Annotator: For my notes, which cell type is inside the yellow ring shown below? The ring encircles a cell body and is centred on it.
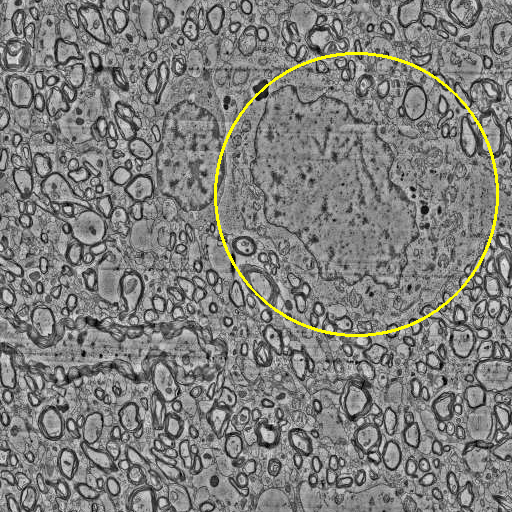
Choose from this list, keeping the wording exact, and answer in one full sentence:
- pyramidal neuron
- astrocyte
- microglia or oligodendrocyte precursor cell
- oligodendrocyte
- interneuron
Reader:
At the centre of the yellow ring there is a pyramidal neuron, as shown in the picture.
